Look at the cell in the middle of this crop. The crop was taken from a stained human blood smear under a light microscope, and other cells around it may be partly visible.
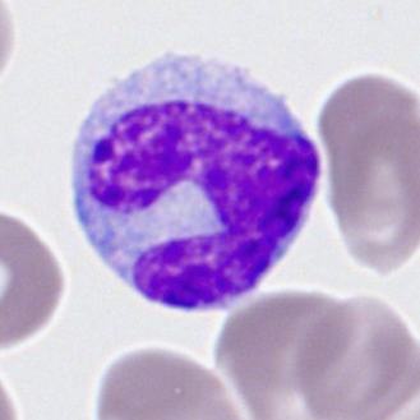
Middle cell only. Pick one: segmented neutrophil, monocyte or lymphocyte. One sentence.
Answering briefly, the cell in the middle is a monocyte.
